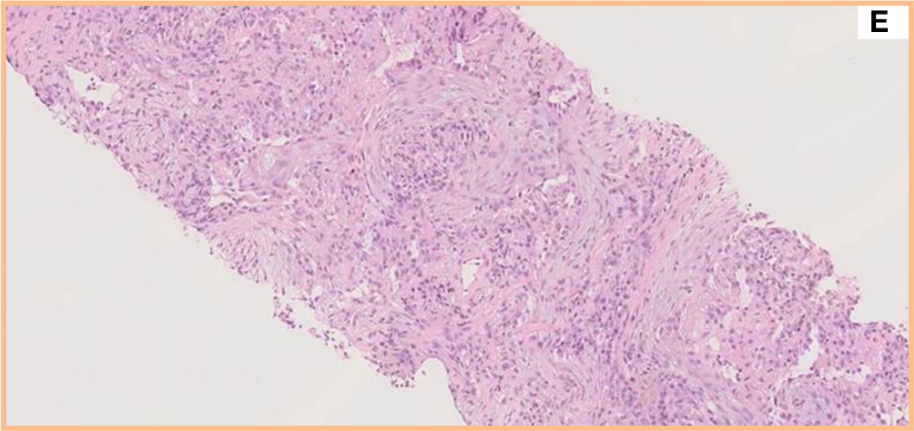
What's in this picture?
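This is a core of lung tissue in which airspaces are filled by rounded, whorled plugs of loose fibroblastic tissue, made of spindle-shaped cells with elongated nuclei set in a pale pink matrix. Between and around these plugs lie many small cells with round, dark purple nuclei, a mixture of inflammatory cells.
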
